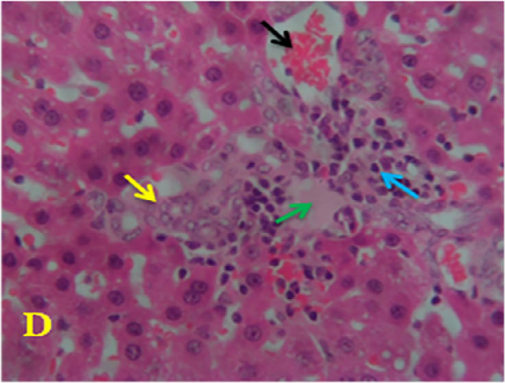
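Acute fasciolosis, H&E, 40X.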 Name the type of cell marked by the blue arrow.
Inflammatory cells.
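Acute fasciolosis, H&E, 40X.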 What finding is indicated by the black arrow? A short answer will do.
engorgement of red blood cells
